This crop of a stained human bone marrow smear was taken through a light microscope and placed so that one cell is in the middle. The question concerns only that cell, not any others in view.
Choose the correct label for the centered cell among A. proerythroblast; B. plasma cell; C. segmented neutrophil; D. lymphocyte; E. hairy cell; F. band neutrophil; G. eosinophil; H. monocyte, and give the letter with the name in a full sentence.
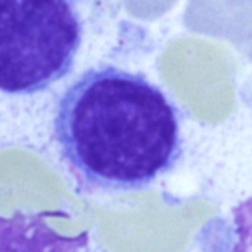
This one is option E, since the cell at the center is a hairy cell.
